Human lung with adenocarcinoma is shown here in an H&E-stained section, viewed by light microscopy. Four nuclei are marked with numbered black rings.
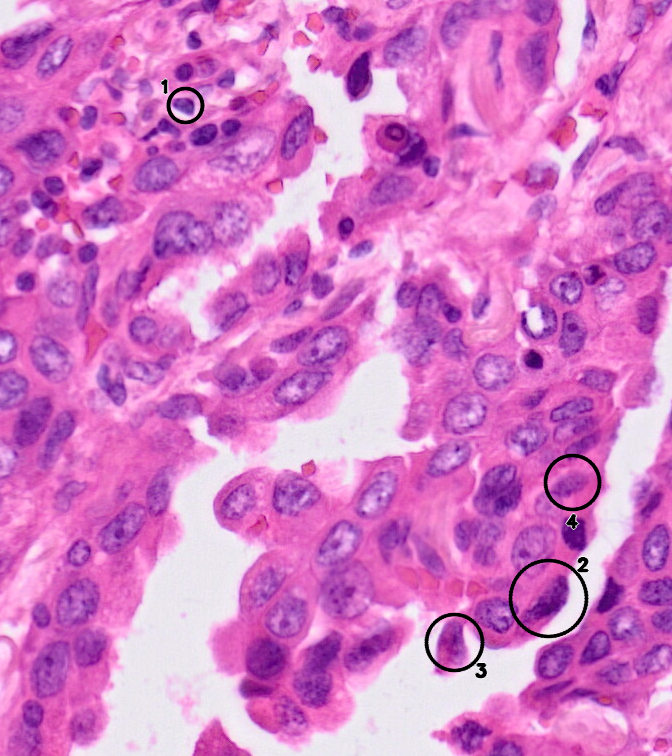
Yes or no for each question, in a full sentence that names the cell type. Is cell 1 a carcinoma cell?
No, rather than a carcinoma cell, cell number 1 is a lymphocyte.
